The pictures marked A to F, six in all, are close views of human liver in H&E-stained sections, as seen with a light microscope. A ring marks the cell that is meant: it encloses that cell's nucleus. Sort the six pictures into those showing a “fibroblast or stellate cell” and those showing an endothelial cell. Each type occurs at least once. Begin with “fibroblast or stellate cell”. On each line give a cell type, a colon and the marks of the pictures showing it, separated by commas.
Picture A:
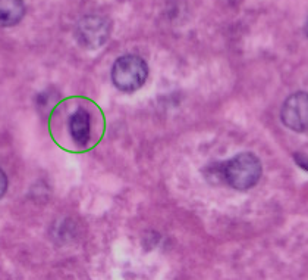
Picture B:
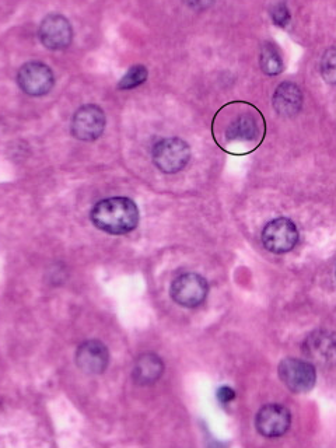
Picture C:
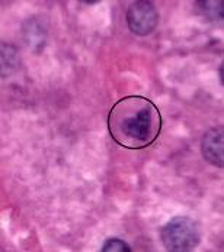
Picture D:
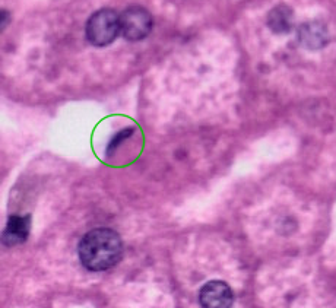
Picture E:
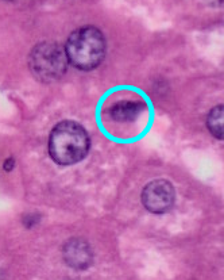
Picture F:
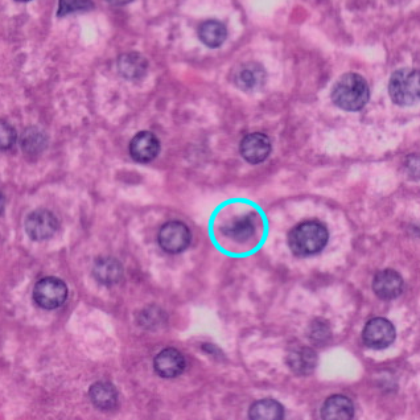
fibroblast or stellate cell: A, C, E
endothelial cell: B, D, F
